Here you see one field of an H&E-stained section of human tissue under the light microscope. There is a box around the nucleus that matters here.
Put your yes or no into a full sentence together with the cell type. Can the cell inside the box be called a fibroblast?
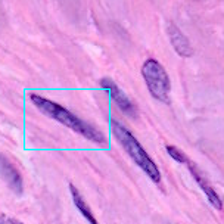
Yes, the cell inside the box is categorized as a fibroblast in this section.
